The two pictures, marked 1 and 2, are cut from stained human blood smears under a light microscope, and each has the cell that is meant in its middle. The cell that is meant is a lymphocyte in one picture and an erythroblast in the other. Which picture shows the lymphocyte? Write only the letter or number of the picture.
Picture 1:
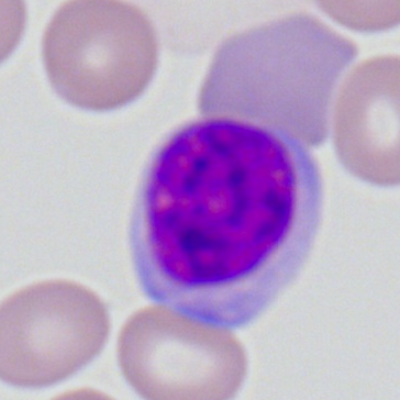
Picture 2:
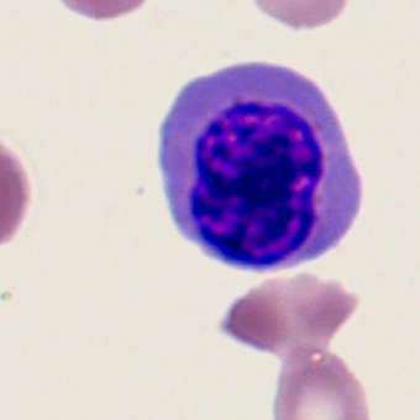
1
